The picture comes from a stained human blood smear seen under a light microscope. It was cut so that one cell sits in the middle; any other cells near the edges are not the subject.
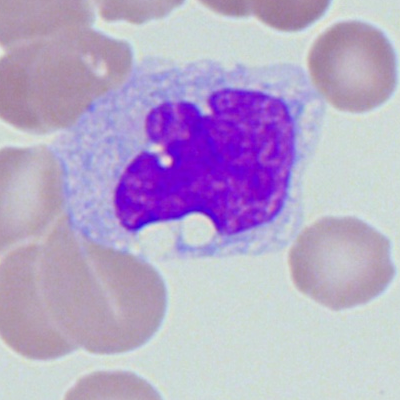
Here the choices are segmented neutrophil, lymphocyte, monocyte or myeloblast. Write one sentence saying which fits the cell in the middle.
The centrally positioned cell in the crop represents a monocyte.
